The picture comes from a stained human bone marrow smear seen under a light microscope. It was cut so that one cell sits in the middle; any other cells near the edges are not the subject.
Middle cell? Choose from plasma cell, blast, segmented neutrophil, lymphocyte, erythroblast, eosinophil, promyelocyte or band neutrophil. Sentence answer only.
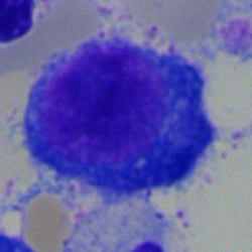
The cell the crop is centered on is a plasma cell.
